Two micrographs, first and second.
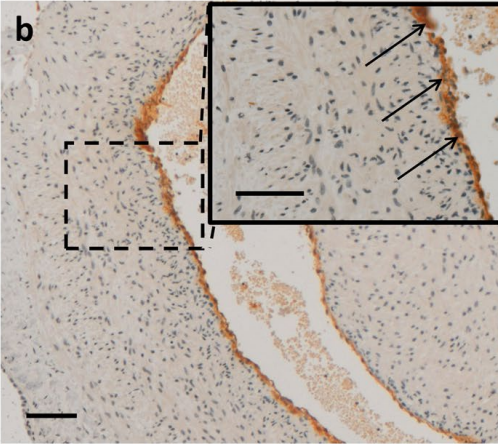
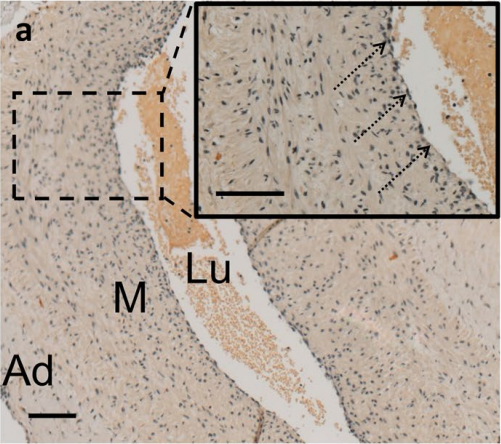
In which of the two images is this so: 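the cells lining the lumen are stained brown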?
the first image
